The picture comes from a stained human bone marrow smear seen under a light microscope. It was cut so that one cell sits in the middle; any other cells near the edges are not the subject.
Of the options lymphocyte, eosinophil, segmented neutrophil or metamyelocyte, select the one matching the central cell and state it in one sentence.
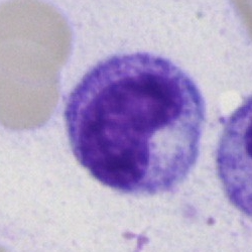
The cell at the heart of this crop is a metamyelocyte.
